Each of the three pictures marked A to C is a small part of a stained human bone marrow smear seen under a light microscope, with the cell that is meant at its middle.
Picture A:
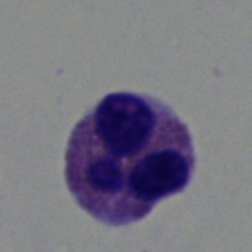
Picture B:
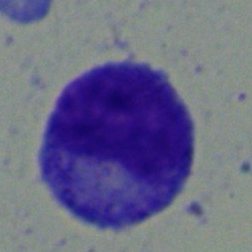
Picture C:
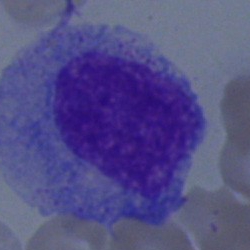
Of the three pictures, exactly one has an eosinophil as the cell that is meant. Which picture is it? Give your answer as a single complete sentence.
The picture with the eosinophil is A.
